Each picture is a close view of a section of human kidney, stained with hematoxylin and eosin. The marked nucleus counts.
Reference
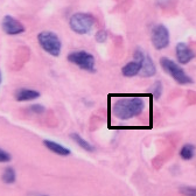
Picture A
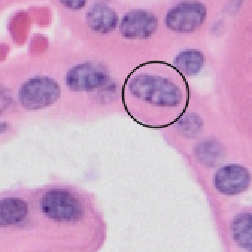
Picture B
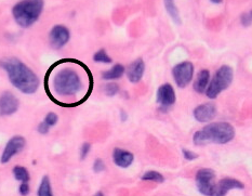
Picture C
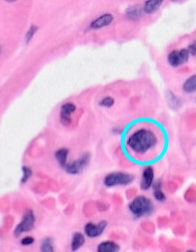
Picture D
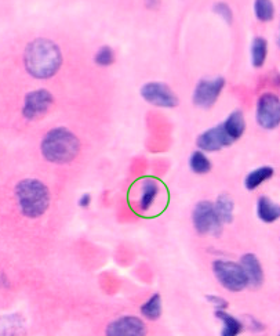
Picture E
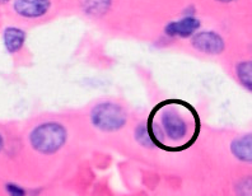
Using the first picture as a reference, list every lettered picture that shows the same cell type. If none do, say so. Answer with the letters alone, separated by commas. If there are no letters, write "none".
B, C, D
